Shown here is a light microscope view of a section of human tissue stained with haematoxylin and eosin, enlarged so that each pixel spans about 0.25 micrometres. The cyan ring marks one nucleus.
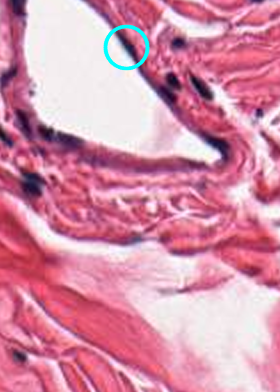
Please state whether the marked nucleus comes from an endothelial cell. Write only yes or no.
yes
